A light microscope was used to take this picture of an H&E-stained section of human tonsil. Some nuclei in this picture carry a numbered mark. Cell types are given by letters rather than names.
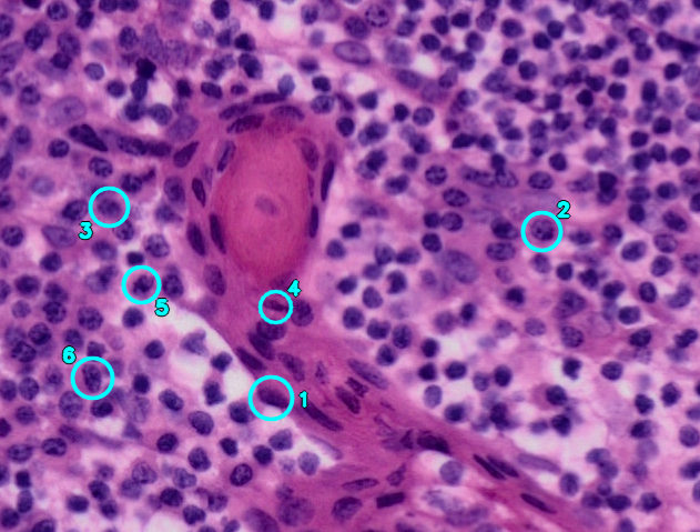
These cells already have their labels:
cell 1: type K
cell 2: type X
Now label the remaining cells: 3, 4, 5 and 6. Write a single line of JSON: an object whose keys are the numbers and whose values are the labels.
{"3": "type X", "4": "type K", "5": "type X", "6": "type X"}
